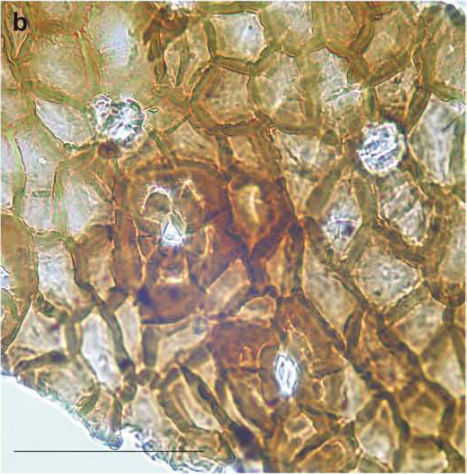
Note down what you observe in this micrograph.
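This is an epidermal cuticle seen in transmitted light, showing the outlines of polygonal epidermal cells as brown, thickened walls around paler cell areas. In the centre lie darker brown stomatal complexes, each a ring of surrounding cells around a central opening; in the lower one a pair of elongated guard cells flanks a bright slit. Towards the top, two small cells with bright, irregular centres stand out among the ordinary epidermal cells.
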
